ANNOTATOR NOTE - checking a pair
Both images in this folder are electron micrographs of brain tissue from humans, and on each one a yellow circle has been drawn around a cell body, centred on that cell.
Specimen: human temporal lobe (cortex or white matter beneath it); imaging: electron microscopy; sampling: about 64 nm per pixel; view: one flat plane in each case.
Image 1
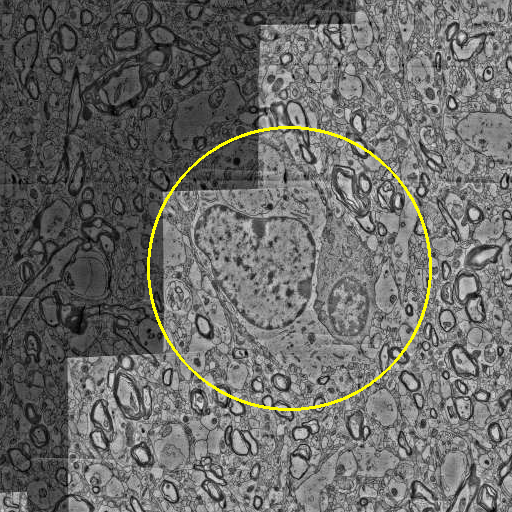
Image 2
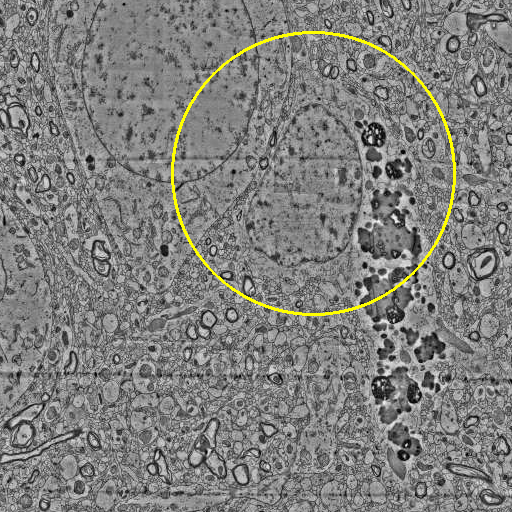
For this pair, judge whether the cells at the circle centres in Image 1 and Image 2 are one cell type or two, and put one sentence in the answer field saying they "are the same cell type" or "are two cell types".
For this pair, the cells at the circle centres in Images 1 and 2 are two cell types.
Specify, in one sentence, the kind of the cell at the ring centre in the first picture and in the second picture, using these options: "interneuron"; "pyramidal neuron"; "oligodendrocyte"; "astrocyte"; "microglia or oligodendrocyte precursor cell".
So the first is a microglial cell or oligodendrocyte precursor cell, the second an astrocyte.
